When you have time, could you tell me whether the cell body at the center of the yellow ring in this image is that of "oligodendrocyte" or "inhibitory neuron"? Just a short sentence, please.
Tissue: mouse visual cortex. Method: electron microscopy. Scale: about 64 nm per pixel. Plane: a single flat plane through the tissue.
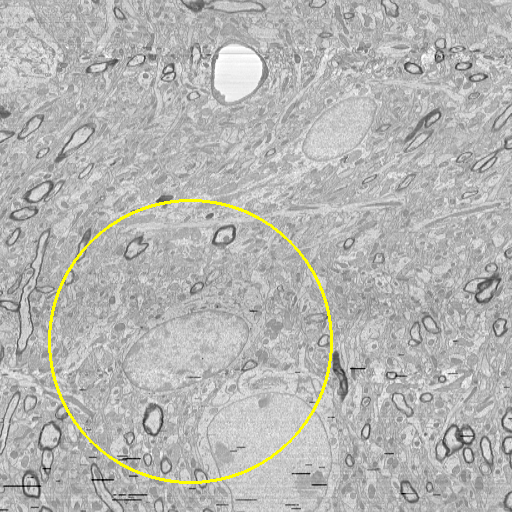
The cell body at the center of the ring is that of an oligodendrocyte.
